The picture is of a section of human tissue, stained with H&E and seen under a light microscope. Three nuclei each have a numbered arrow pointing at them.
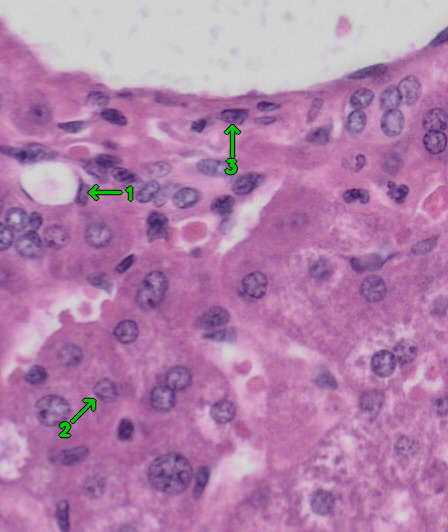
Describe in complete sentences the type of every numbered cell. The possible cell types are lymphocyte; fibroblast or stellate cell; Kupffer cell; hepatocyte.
Cells 1 and 3 are fibroblasts or stellate cells. Cell 2 is a hepatocyte.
